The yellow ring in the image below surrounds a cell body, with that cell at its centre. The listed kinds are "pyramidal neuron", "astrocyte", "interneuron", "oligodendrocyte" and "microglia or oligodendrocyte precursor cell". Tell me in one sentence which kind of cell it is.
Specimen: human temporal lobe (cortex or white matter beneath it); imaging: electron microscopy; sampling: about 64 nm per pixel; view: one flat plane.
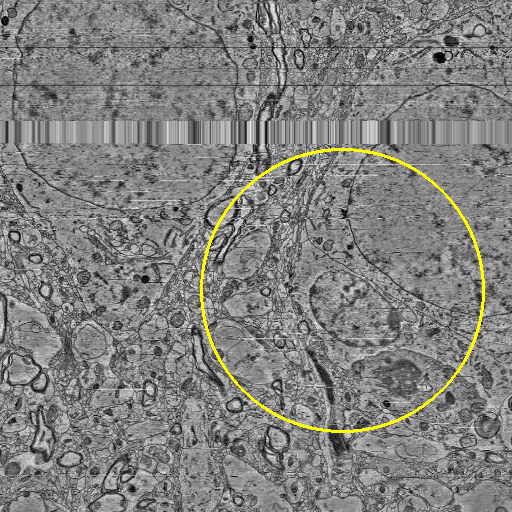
The centre of the ring holds a microglial cell or oligodendrocyte precursor cell.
